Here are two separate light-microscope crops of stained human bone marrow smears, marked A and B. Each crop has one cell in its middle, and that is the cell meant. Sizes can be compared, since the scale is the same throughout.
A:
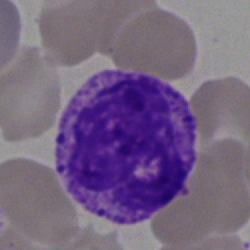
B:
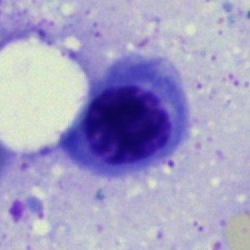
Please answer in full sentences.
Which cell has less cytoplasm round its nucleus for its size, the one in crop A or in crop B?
The nucleus fills more of the cell in crop A than in crop B.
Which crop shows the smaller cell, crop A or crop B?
The cell in crop B is smaller; the one in crop A has about 1.5 times its area.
